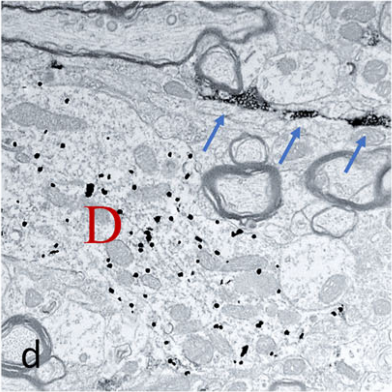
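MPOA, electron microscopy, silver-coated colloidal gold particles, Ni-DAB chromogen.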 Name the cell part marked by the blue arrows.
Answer: Axon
